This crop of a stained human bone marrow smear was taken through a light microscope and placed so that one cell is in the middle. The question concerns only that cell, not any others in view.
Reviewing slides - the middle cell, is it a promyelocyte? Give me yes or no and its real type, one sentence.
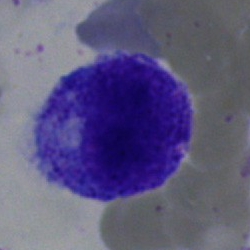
Yes, the centre of the crop holds a promyelocyte.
